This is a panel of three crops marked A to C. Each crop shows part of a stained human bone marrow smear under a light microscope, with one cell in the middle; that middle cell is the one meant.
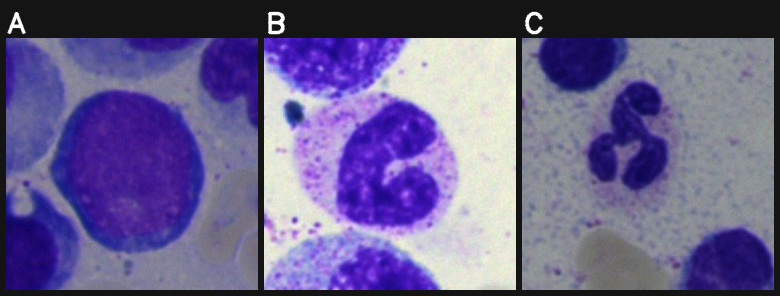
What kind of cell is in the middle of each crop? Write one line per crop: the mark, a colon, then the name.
A: proerythroblast
B: band neutrophil
C: segmented neutrophil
